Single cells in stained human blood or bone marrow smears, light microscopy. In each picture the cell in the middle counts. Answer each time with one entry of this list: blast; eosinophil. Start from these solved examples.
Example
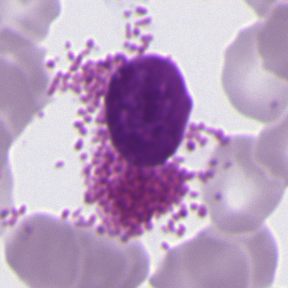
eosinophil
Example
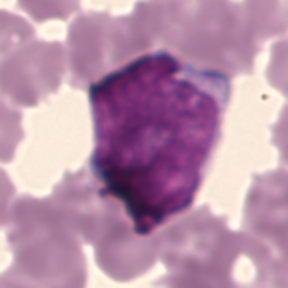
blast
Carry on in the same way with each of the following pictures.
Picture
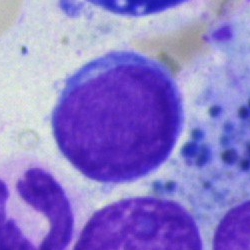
blast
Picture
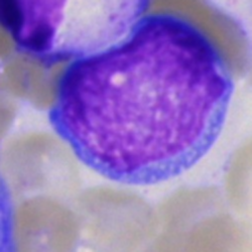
blast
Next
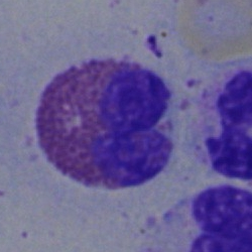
eosinophil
